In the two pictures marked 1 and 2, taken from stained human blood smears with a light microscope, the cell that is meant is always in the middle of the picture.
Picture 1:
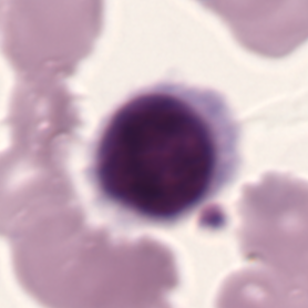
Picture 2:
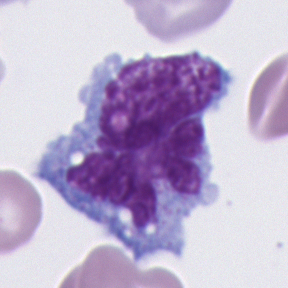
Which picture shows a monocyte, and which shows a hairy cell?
1: hairy cell
2: monocyte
